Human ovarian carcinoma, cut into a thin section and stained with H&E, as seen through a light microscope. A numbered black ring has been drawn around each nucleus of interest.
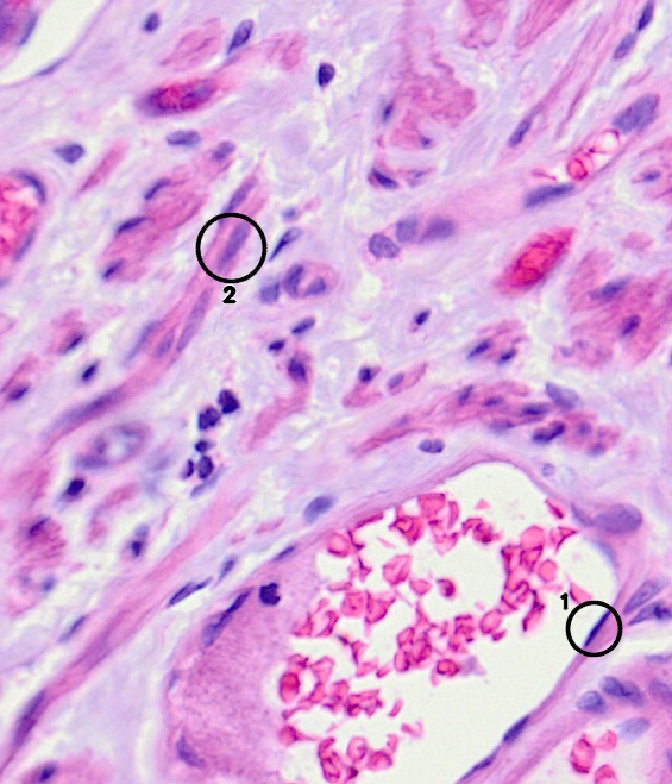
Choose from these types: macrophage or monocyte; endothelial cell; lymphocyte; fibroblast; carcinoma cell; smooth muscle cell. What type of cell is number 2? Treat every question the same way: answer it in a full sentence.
The numbered cell 2 is identified here as a smooth muscle cell.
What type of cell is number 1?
Nucleus 1 in this section belongs to an endothelial cell.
